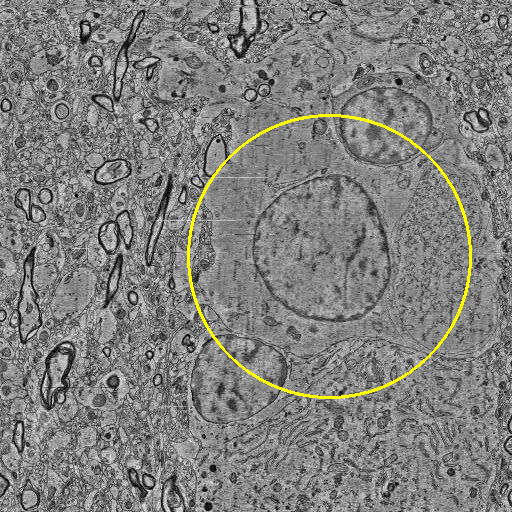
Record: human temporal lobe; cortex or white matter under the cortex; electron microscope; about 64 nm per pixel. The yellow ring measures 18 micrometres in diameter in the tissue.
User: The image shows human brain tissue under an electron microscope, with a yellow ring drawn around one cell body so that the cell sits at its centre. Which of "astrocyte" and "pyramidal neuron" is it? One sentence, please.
At the centre of the ring sits an astrocyte.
